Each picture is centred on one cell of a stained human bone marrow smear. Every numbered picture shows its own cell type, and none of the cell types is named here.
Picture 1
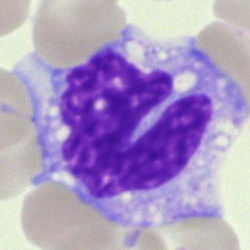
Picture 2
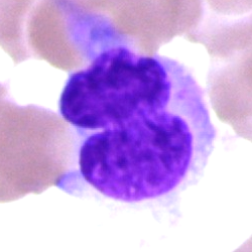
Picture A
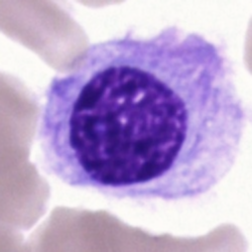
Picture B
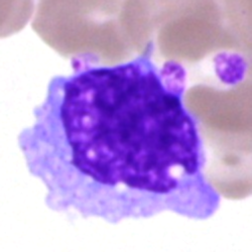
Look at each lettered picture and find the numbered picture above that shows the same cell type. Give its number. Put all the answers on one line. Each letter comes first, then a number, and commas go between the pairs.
A 2, B 1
